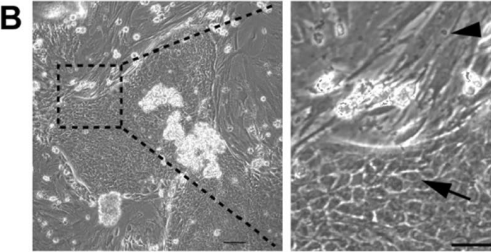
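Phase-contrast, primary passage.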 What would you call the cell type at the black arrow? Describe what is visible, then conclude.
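Small epithelial cells. The arrow points into a sheet of small polygonal cells packed closely together.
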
